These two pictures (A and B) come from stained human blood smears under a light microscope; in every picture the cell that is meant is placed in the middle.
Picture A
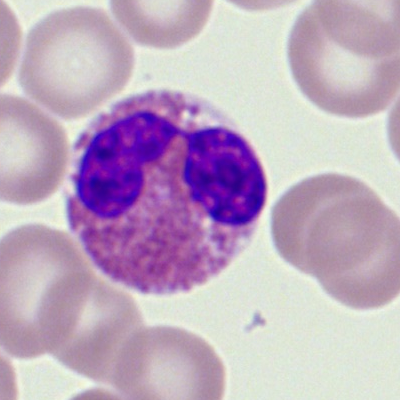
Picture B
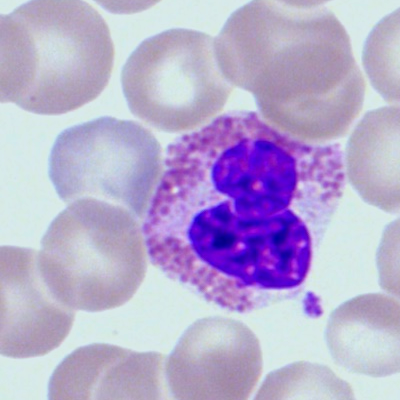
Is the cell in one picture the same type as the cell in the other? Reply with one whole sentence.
Yes, they are the same type: both are eosinophils.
